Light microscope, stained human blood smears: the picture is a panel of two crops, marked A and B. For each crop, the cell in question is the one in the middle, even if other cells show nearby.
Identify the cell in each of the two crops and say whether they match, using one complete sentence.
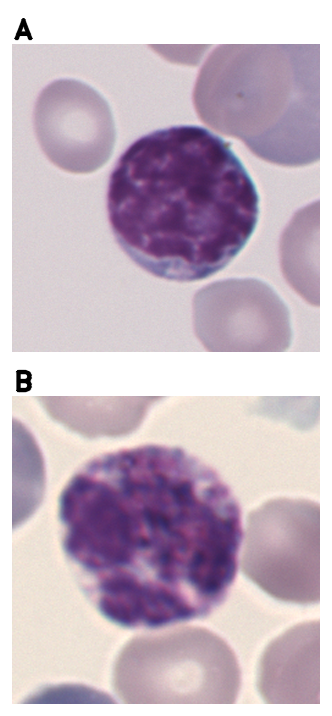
No, a basophil is in crop B, and a lymphocyte is in crop A.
